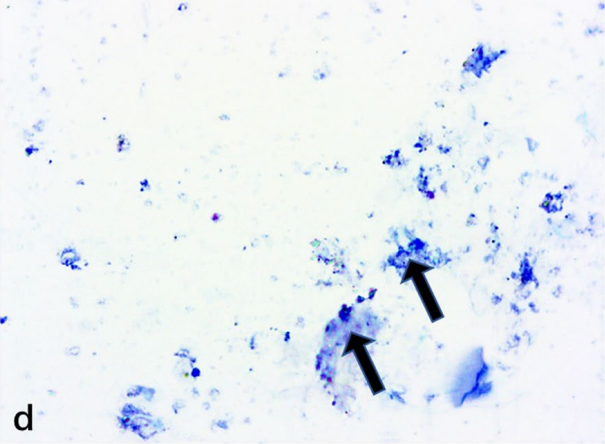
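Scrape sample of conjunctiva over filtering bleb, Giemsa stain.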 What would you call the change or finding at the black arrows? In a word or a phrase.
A: Fragments of cells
